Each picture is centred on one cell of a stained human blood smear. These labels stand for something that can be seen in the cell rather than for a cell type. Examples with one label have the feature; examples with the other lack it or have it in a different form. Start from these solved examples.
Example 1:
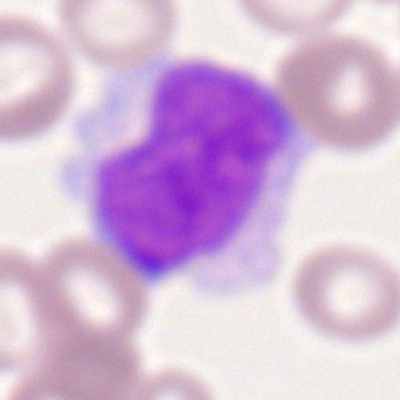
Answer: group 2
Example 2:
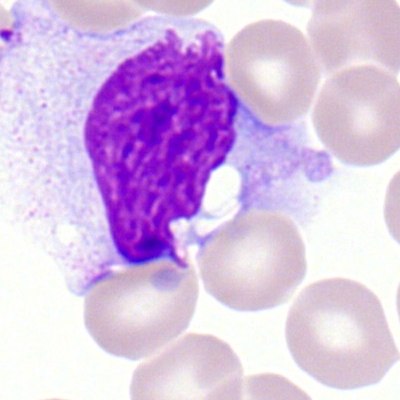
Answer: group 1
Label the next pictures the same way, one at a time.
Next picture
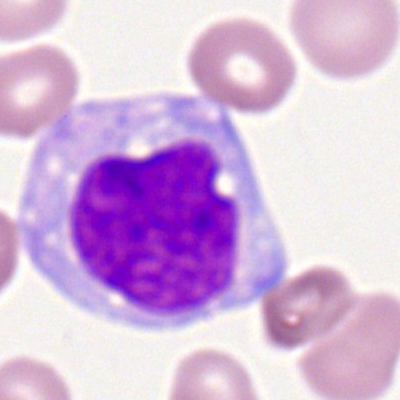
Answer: group 1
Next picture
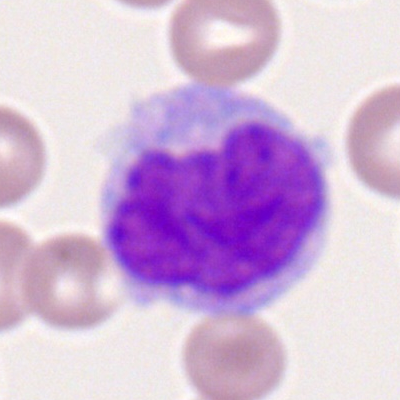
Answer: group 2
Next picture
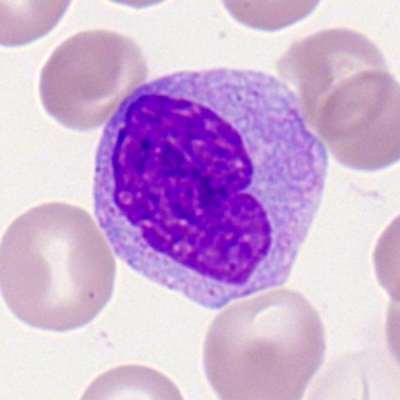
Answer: group 1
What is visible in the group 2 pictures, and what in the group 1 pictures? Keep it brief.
In group 2: scant cytoplasm. In group 1: abundant cytoplasm.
